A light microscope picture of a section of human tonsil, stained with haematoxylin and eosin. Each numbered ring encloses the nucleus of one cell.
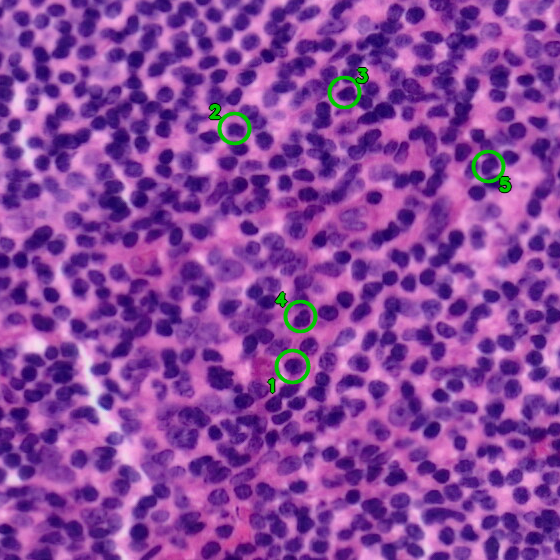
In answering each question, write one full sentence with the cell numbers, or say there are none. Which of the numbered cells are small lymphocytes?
The cells with labels 2, 3 and 5 are small lymphocytes.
